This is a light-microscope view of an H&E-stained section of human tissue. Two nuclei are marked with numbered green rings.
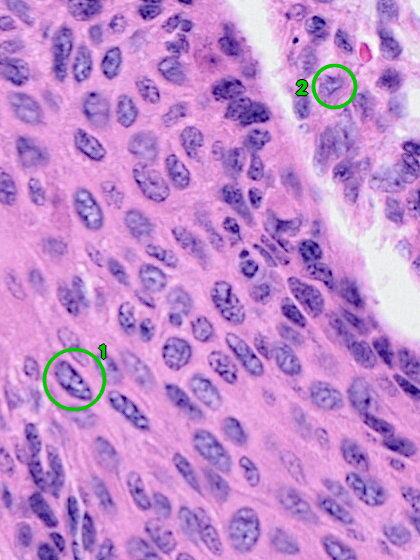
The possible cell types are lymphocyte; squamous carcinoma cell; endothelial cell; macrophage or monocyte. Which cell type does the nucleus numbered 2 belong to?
endothelial cell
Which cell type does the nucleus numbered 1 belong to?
squamous carcinoma cell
